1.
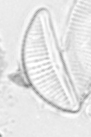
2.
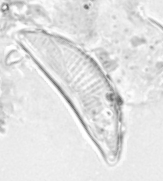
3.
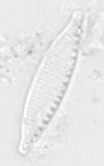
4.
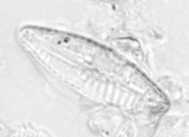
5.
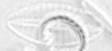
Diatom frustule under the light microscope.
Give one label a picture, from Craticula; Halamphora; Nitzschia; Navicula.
1: Halamphora
2: Halamphora
3: Nitzschia
4: Navicula
5: Craticula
